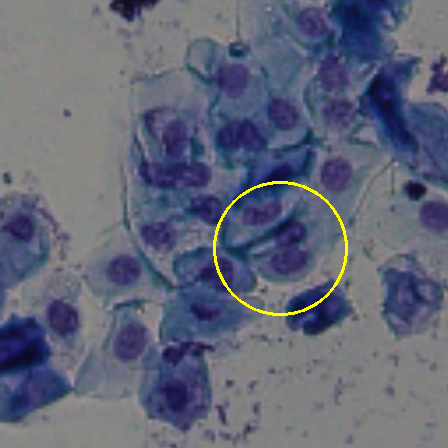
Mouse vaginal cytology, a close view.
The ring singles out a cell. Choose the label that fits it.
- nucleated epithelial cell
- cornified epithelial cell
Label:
nucleated epithelial cell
